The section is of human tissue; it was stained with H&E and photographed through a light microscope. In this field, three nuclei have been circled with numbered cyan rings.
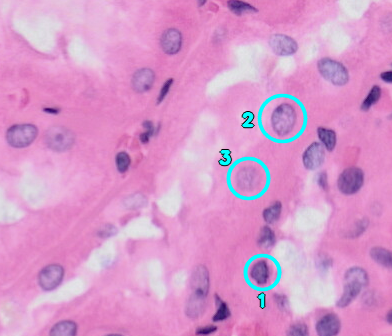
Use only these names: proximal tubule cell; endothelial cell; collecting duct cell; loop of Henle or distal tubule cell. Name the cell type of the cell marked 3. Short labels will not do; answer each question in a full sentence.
The cell referred to as 3 is a proximal tubule cell.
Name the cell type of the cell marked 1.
Classified as a loop of Henle or distal tubule cell is the cell with the number 1.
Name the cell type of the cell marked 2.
It is as a proximal tubule cell that the cell numbered 2 is identified.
